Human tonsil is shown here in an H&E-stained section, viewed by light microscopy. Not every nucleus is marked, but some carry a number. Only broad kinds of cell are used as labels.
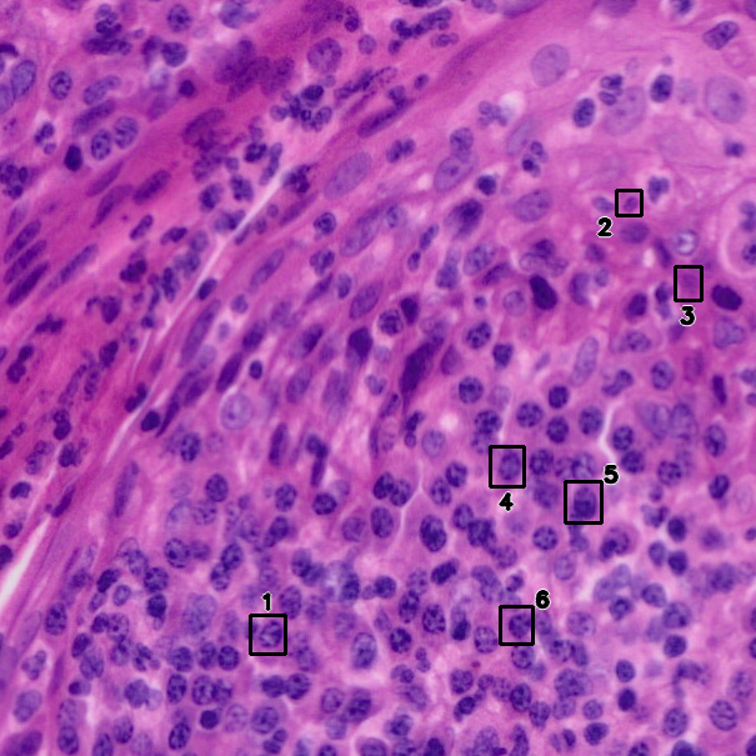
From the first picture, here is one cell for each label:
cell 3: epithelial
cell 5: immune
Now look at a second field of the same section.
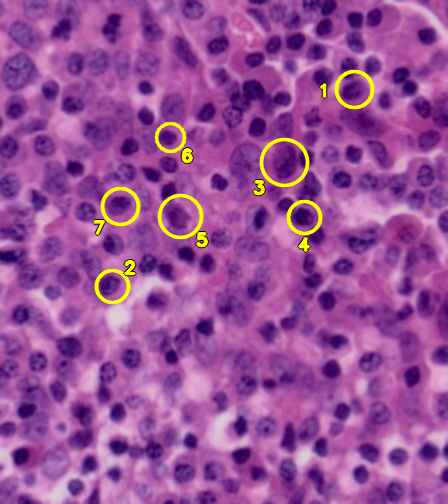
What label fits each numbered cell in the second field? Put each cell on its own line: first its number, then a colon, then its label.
1: immune
2: immune
3: epithelial
4: immune
5: epithelial
6: epithelial
7: immune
